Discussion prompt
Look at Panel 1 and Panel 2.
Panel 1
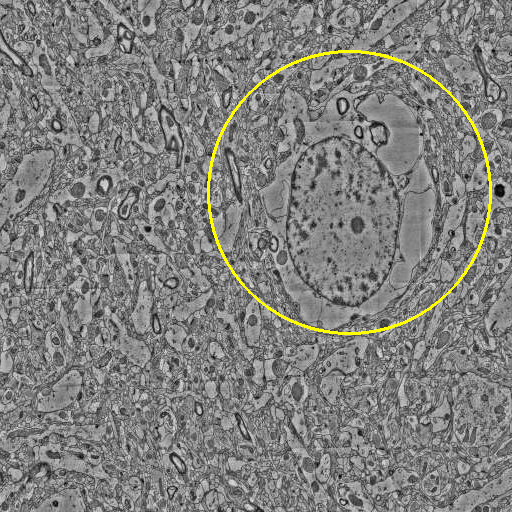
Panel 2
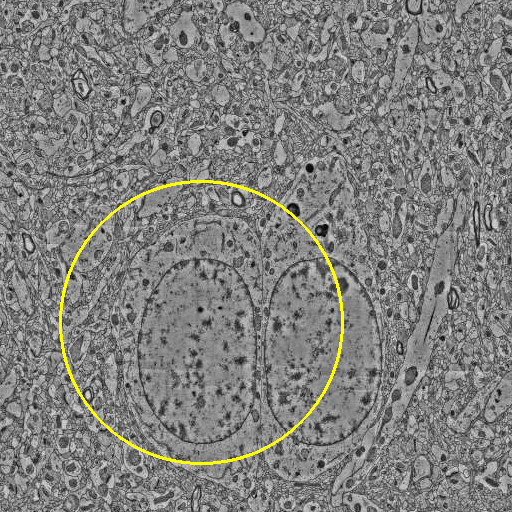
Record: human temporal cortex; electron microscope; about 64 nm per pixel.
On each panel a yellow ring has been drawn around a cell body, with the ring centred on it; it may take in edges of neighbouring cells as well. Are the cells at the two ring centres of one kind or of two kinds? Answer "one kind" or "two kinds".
two kinds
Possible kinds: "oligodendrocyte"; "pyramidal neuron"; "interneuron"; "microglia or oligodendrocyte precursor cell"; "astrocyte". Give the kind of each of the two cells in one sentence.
The cell in the second picture is a pyramidal neuron, and that in the first is an astrocyte.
